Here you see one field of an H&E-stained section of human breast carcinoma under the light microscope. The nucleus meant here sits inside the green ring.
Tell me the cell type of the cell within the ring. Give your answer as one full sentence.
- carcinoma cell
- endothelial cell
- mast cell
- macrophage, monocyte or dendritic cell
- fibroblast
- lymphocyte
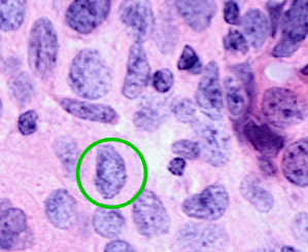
As a matter of cell type, the cell within the ring is a carcinoma cell.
